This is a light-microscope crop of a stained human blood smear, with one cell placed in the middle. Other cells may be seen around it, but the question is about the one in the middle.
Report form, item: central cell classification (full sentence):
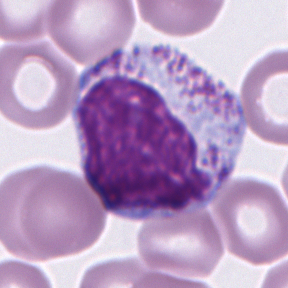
This crop's central cell is a myelocyte.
